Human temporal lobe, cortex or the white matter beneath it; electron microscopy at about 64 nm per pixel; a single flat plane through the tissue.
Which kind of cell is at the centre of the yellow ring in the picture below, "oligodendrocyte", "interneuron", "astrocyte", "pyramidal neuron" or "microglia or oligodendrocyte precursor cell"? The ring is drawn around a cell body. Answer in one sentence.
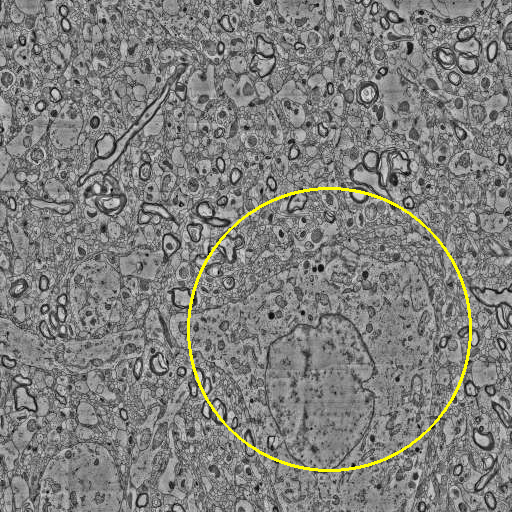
The ring's central cell is a pyramidal neuron.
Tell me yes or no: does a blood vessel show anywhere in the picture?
No, there is none.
